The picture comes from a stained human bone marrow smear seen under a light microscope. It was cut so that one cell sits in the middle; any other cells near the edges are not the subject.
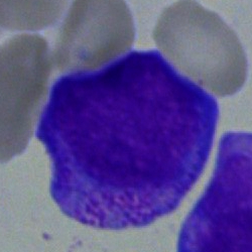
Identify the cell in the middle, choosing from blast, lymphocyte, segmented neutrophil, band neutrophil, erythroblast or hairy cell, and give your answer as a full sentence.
In the crop, the cell of interest at the centre is a blast.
